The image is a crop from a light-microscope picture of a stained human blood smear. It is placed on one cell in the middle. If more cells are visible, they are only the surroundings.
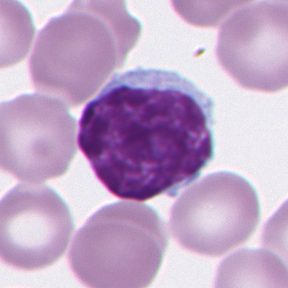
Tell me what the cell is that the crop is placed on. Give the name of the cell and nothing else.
typical lymphocyte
